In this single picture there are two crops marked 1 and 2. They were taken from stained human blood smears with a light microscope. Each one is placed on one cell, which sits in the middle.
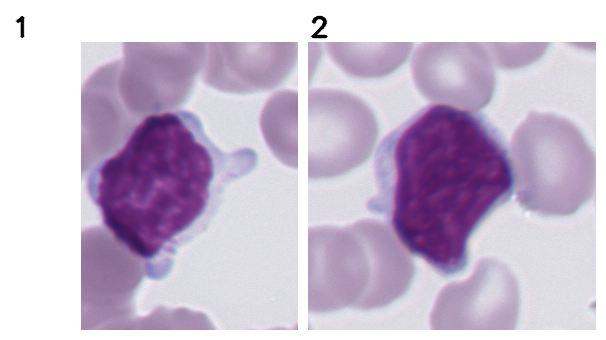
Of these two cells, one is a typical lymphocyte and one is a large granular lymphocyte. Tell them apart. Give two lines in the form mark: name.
1: large granular lymphocyte
2: typical lymphocyte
